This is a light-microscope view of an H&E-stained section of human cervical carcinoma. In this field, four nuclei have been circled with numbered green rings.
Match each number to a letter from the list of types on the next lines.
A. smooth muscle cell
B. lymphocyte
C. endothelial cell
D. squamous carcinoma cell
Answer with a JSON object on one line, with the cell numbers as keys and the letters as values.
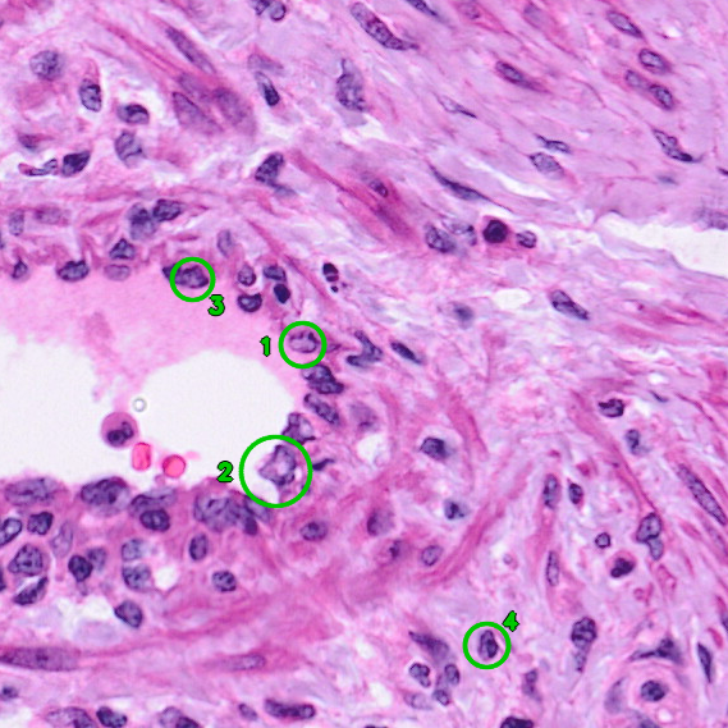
{"1": "C", "2": "C", "3": "C", "4": "B"}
